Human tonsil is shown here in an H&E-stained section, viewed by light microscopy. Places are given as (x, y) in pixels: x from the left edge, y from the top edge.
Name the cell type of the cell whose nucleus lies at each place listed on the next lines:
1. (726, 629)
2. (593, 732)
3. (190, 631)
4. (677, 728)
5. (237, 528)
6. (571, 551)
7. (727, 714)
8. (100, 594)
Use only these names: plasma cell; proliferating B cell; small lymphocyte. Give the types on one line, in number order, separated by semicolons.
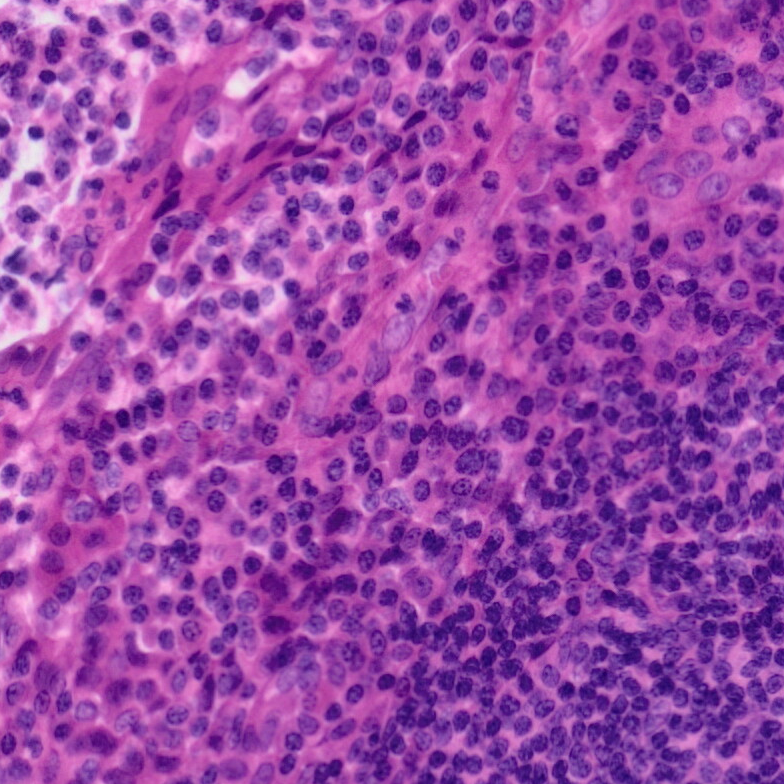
small lymphocyte; small lymphocyte; plasma cell; small lymphocyte; plasma cell; small lymphocyte; small lymphocyte; plasma cell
